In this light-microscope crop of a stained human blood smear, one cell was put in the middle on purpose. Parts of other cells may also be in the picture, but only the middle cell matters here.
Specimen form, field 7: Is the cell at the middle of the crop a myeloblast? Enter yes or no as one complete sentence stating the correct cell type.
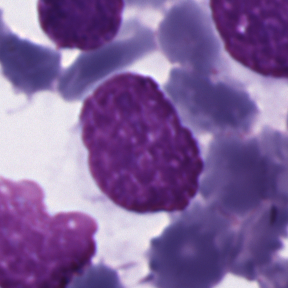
No, calling it a myeloblast is wrong; the middle cell is a smudge cell.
